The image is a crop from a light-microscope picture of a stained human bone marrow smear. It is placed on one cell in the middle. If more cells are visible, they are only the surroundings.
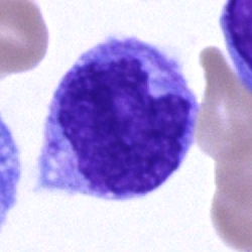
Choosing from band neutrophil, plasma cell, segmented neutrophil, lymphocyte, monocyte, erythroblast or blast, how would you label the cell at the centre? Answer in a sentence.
Framed in the middle of the crop is a monocyte.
